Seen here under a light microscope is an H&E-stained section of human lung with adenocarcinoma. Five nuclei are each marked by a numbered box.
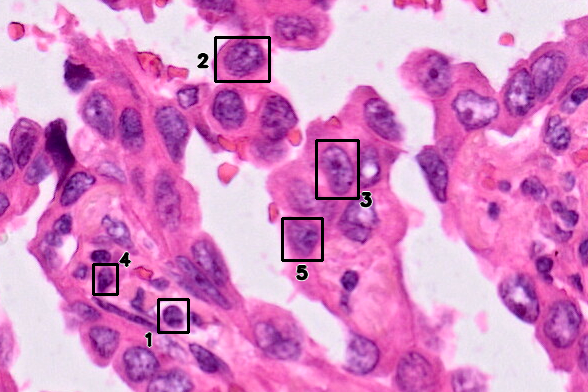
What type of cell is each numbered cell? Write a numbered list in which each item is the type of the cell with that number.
1. lymphocyte
2. carcinoma cell
3. carcinoma cell
4. plasma cell
5. carcinoma cell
